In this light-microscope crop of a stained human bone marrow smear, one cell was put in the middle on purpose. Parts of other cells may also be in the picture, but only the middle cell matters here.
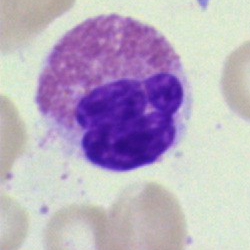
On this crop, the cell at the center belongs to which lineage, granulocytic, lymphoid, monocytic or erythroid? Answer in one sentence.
The lineage of the central cell is the granulocytic lineage.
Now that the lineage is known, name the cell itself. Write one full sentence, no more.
The cell at the middle of the crop is recognized as an eosinophil.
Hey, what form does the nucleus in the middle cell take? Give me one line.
Nuclear material here is separated into two or more segments.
